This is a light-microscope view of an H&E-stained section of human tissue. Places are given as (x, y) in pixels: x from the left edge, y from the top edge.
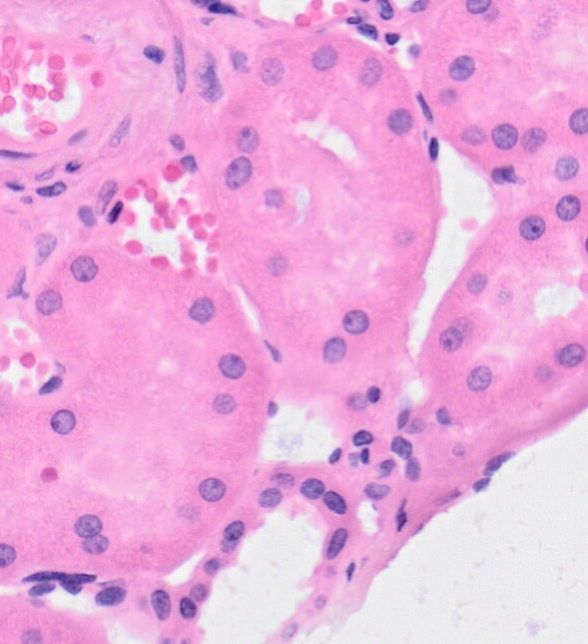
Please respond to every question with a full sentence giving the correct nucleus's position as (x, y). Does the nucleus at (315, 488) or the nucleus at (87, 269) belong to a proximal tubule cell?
The cell to which the nucleus at (87, 269) belongs is a proximal tubule cell.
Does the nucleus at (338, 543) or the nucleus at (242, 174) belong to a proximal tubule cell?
The nucleus that belongs to a proximal tubule cell sits at (242, 174).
